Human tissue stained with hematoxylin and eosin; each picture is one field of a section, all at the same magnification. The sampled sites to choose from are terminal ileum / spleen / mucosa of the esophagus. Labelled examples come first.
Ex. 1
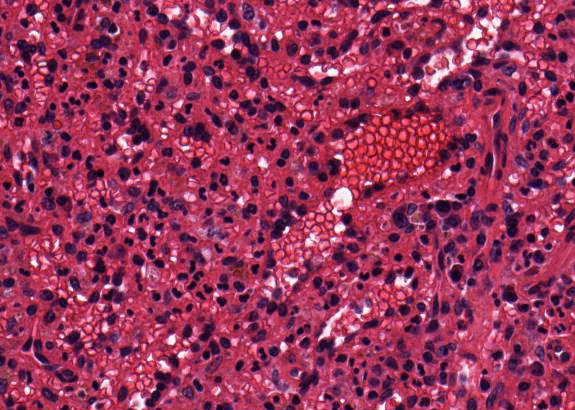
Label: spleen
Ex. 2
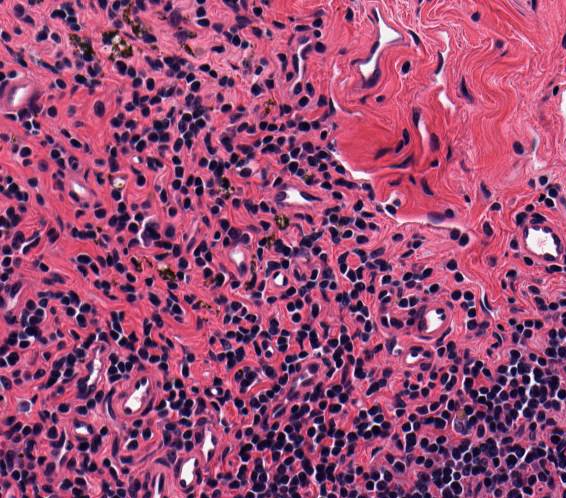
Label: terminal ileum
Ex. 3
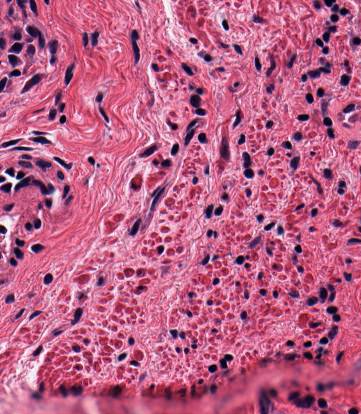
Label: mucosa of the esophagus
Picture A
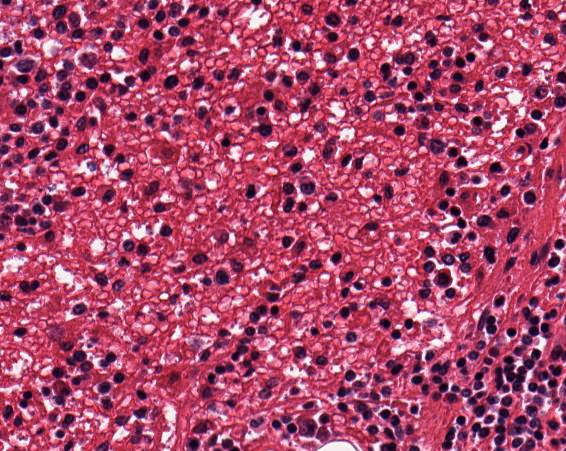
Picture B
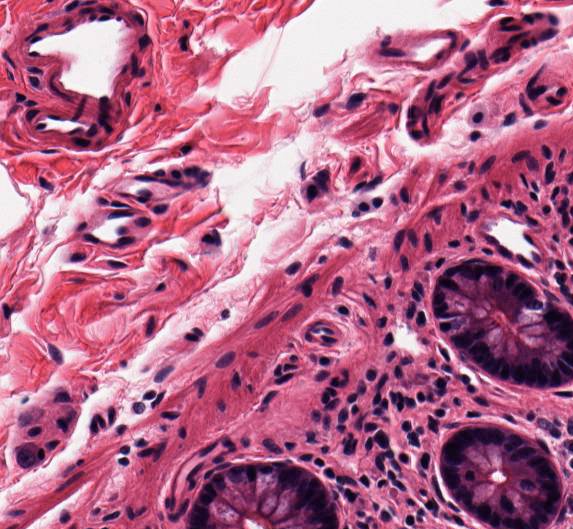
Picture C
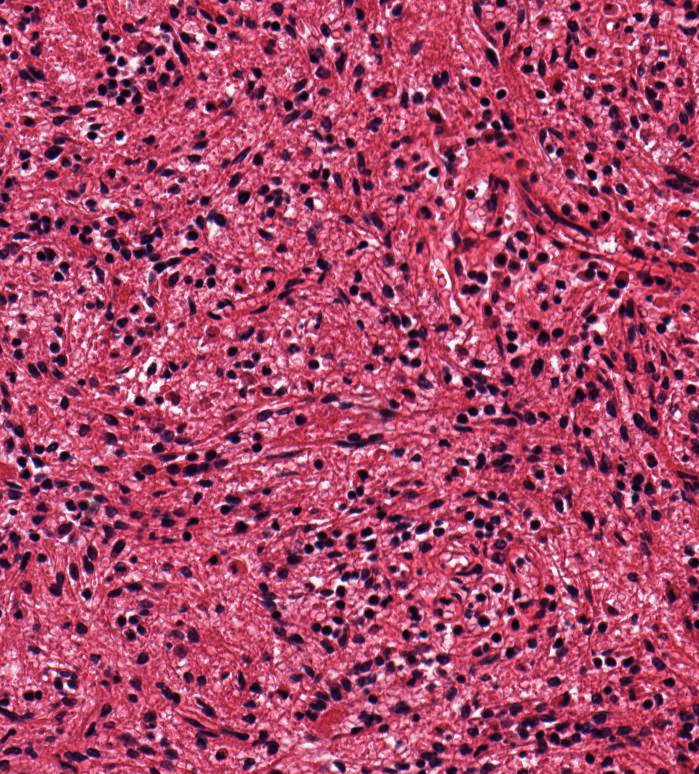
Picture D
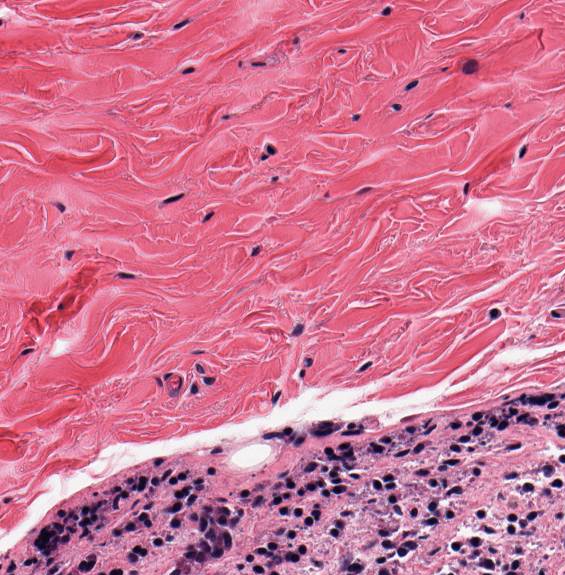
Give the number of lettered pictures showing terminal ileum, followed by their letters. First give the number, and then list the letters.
2, namely B, D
